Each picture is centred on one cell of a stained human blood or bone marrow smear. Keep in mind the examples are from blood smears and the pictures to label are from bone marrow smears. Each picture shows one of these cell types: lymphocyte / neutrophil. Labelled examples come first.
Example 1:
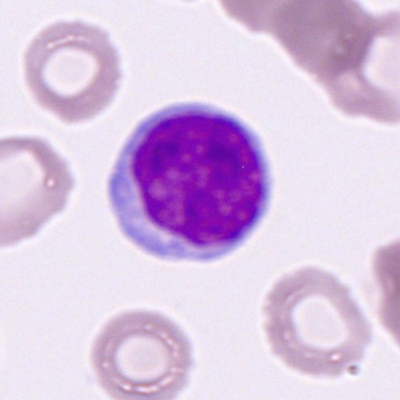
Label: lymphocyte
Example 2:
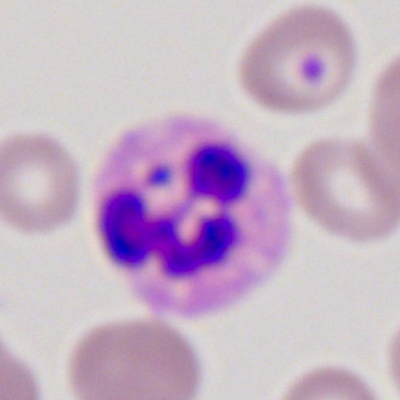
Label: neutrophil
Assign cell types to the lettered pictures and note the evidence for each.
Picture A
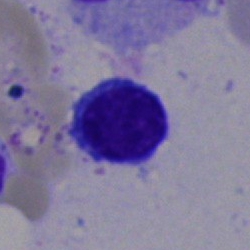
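lymphocyte: The nucleus fills almost the whole cell.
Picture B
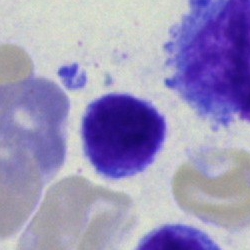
lymphocyte: Cytoplasm is scant, at most a very thin rim around the nucleus.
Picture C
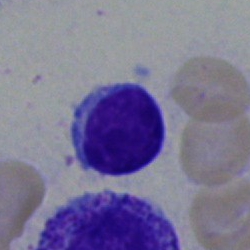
lymphocyte: The nucleus fills most of the cell.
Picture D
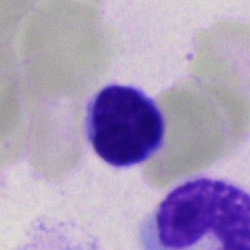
lymphocyte: The nucleus fills almost the whole cell.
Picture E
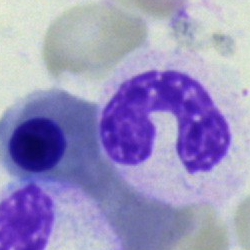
neutrophil: The cytoplasm is plentiful and pale pinkish-lilac.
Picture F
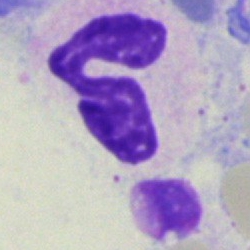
neutrophil: The nucleus is a thick, unbroken band bent into an S shape.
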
